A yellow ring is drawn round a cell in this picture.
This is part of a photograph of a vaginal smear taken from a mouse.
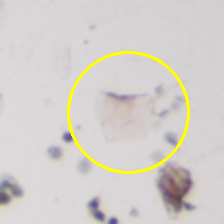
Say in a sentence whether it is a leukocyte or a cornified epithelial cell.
The cell in the ring is a cornified epithelial cell.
